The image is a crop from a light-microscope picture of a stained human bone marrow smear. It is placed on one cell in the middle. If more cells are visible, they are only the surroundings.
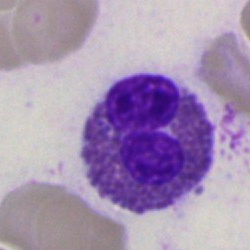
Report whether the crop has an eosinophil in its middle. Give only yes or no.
yes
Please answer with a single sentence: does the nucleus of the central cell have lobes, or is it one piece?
We find a nucleus divided into at least two lobes.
